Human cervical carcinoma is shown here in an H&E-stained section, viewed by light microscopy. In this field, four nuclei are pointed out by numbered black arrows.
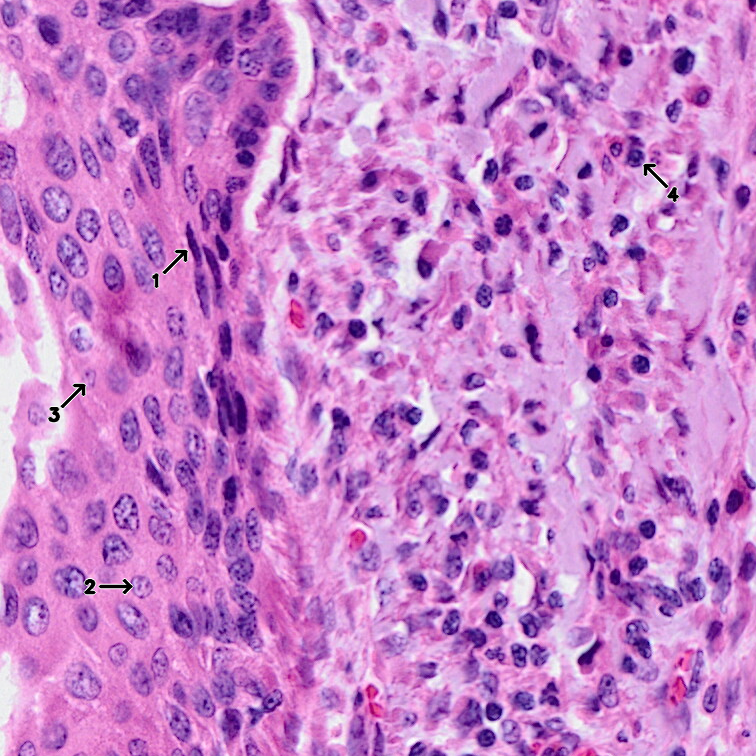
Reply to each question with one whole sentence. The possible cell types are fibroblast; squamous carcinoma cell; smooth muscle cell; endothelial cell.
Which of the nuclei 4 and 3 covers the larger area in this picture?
Of the two, number 4 is bigger and takes up about 1.5 times the area of number 3.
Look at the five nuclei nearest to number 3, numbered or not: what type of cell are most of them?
Of the five nuclei nearest to number 3, most belong to squamous carcinoma cells.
